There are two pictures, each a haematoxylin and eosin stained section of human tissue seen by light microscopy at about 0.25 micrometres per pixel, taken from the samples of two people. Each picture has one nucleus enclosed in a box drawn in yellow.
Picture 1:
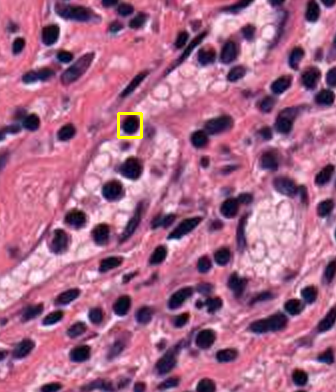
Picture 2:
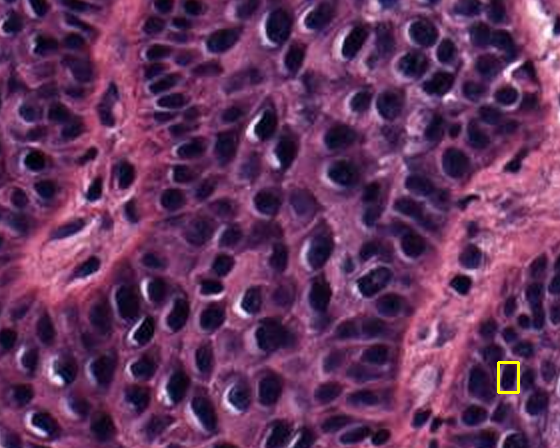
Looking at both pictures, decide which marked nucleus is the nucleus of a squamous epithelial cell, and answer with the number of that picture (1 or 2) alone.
2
